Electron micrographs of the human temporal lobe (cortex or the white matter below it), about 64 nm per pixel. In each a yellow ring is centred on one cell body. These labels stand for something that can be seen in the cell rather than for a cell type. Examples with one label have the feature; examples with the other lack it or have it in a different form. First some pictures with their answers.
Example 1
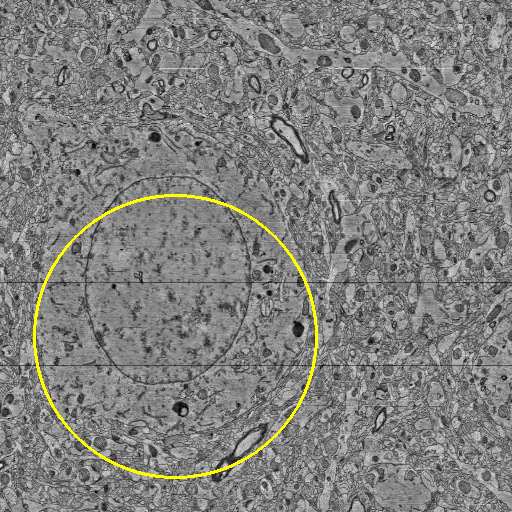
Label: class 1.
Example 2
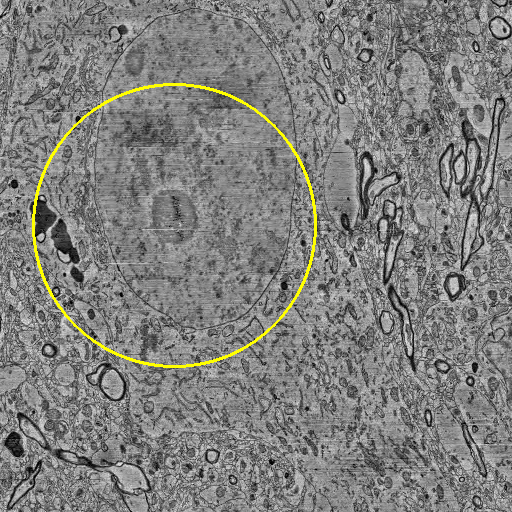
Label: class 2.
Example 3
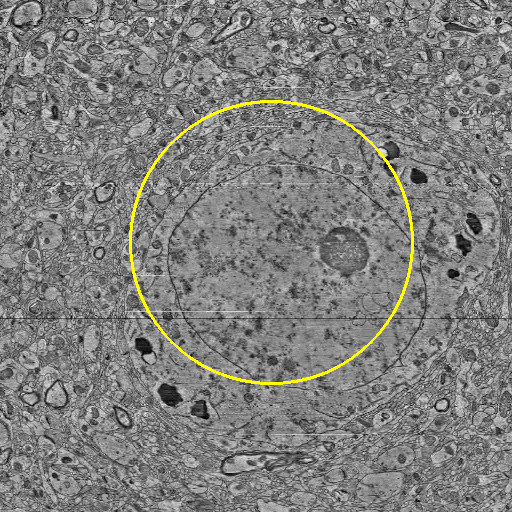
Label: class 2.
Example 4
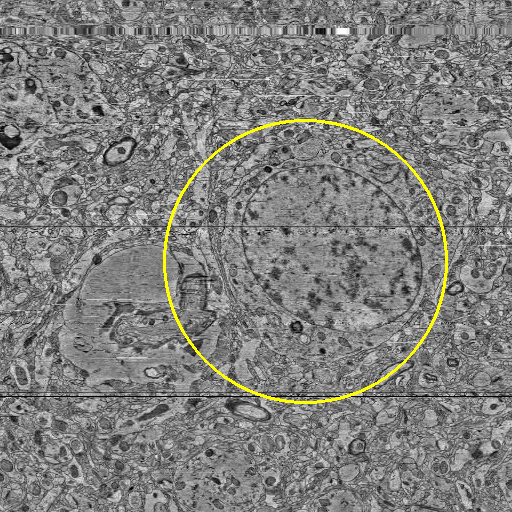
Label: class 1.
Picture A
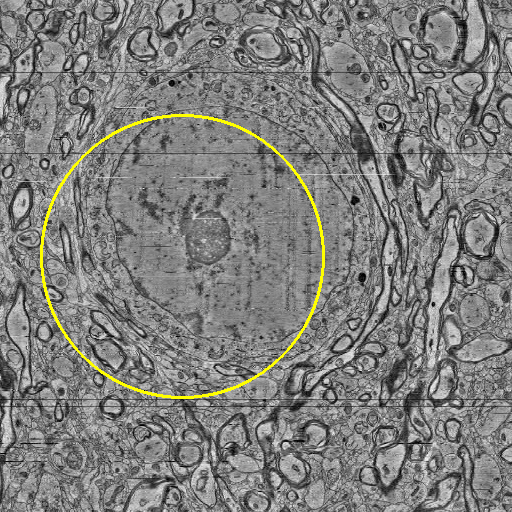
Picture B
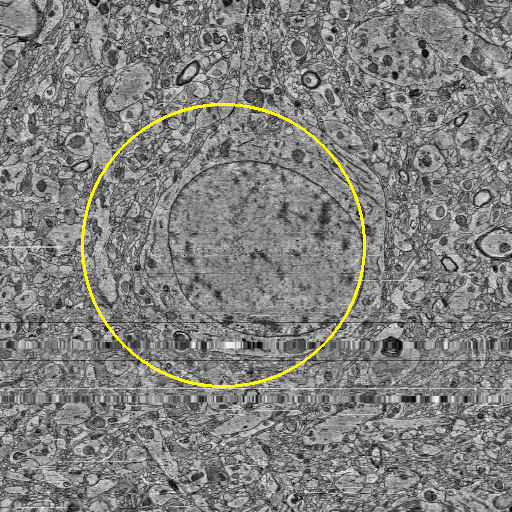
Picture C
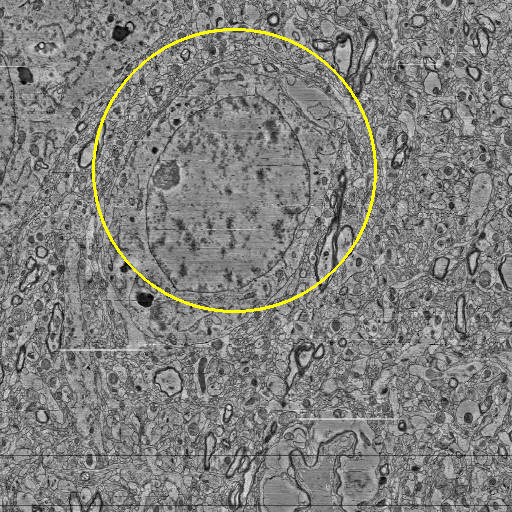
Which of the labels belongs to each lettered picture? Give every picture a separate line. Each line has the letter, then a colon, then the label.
A: class 2.
B: class 1.
C: class 2.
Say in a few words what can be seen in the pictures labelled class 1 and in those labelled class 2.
class 1, no nucleolus seen; class 2, nucleolus seen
